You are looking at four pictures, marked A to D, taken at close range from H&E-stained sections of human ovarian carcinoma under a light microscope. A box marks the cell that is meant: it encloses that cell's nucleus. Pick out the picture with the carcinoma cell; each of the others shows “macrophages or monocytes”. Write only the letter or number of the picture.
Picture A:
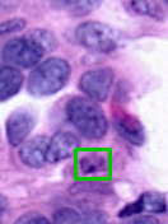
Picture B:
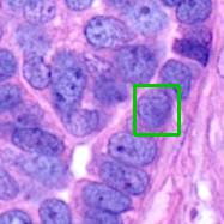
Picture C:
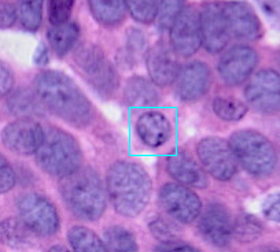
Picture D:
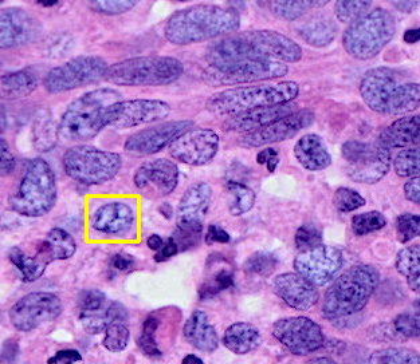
B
